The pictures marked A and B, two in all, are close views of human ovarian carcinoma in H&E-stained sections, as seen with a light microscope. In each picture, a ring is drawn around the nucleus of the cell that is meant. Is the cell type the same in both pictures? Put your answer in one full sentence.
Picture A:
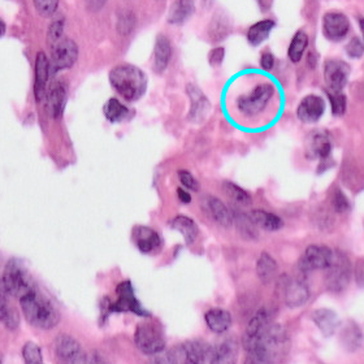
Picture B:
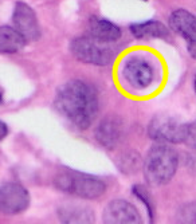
Yes, both are “macrophages or monocytes”.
